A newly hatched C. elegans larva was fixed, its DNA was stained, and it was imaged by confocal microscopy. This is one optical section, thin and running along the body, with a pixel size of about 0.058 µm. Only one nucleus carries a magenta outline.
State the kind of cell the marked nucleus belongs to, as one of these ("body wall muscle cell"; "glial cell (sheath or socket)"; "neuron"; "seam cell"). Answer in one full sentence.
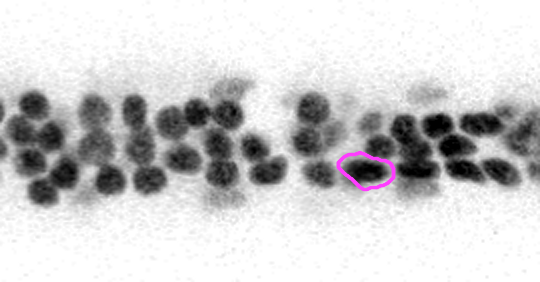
It is the nucleus of a glial cell (sheath or socket).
